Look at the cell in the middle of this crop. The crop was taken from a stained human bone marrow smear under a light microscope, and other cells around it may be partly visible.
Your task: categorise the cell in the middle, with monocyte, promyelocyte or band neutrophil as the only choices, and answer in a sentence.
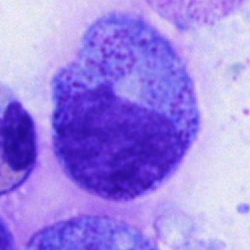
By classification, the middle cell of this crop is a promyelocyte.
